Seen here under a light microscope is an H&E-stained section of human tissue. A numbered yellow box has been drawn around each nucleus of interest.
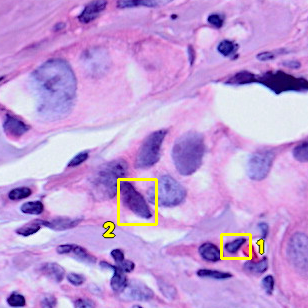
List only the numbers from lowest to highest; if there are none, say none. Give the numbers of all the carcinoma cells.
2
